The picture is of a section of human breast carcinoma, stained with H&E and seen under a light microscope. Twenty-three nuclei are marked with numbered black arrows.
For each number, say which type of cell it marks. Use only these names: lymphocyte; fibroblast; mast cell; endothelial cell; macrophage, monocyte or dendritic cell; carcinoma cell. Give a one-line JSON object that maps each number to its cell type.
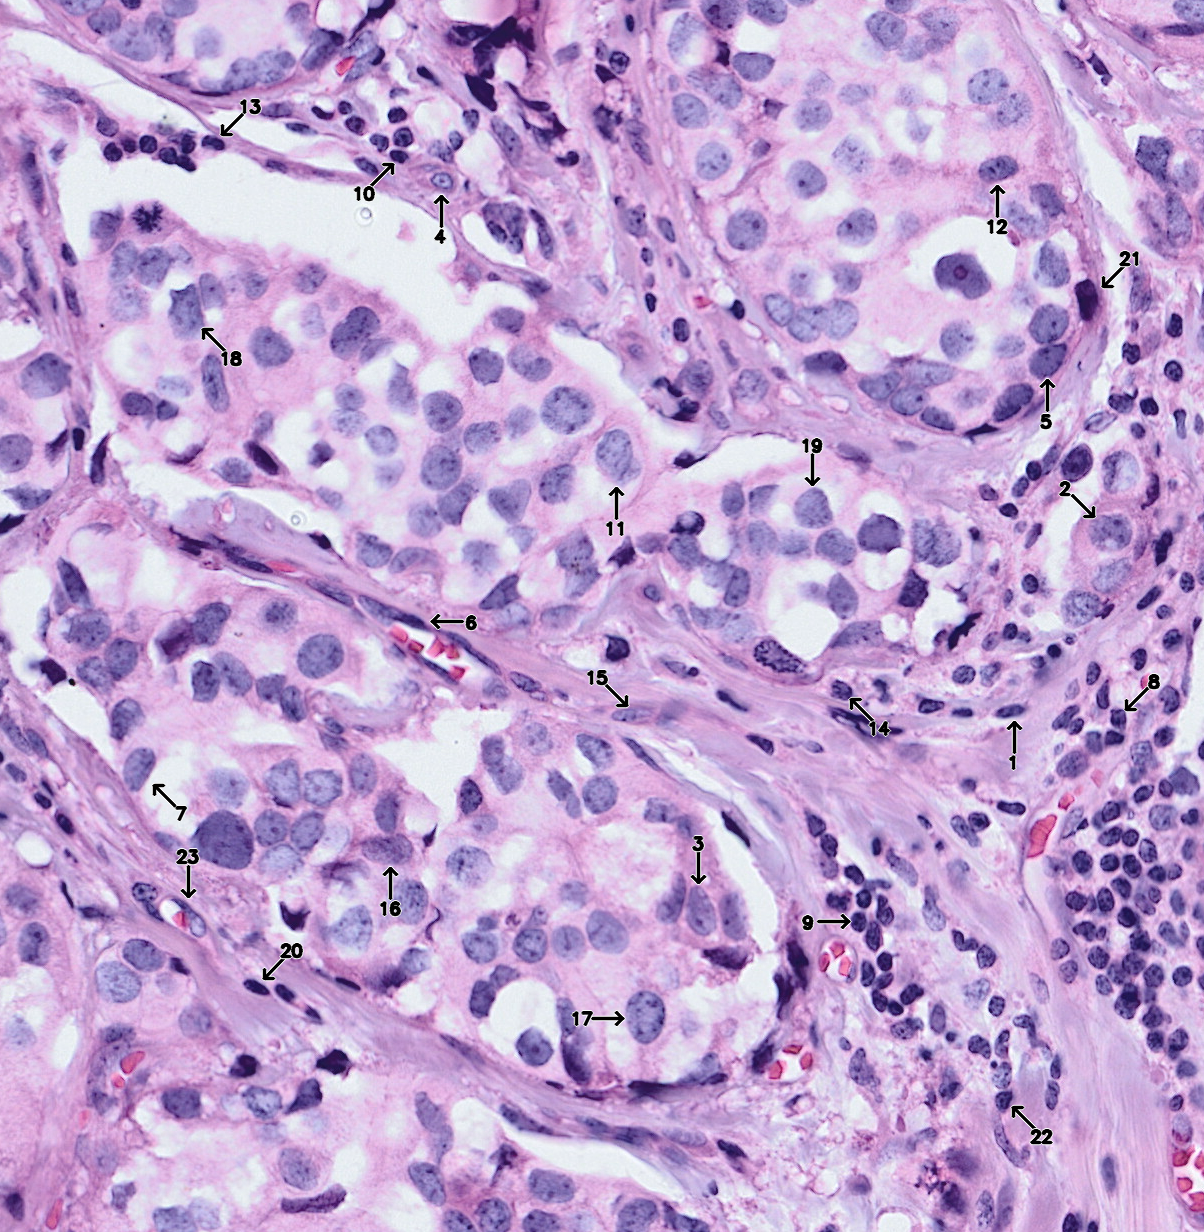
{"1": "lymphocyte", "2": "carcinoma cell", "3": "carcinoma cell", "4": "endothelial cell", "5": "carcinoma cell", "6": "endothelial cell", "7": "carcinoma cell", "8": "lymphocyte", "9": "lymphocyte", "10": "lymphocyte", "11": "carcinoma cell", "12": "carcinoma cell", "13": "lymphocyte", "14": "lymphocyte", "15": "endothelial cell", "16": "carcinoma cell", "17": "carcinoma cell", "18": "carcinoma cell", "19": "carcinoma cell", "20": "lymphocyte", "21": "carcinoma cell", "22": "lymphocyte", "23": "endothelial cell"}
